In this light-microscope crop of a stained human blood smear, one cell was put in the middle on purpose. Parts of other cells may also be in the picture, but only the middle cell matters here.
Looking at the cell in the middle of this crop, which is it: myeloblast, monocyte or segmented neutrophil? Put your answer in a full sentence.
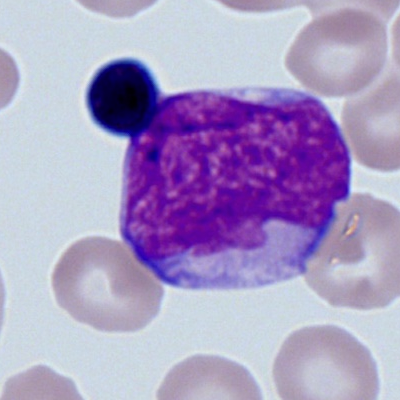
The cell shown in the center of this light-microscope crop is a myeloblast.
